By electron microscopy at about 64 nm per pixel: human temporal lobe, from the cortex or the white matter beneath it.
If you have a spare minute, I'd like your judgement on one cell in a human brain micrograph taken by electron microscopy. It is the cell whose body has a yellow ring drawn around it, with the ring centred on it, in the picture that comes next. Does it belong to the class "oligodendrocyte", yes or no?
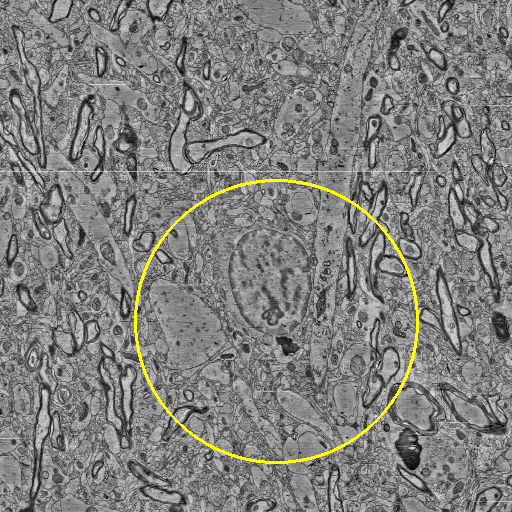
Yes, it belongs to that class.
